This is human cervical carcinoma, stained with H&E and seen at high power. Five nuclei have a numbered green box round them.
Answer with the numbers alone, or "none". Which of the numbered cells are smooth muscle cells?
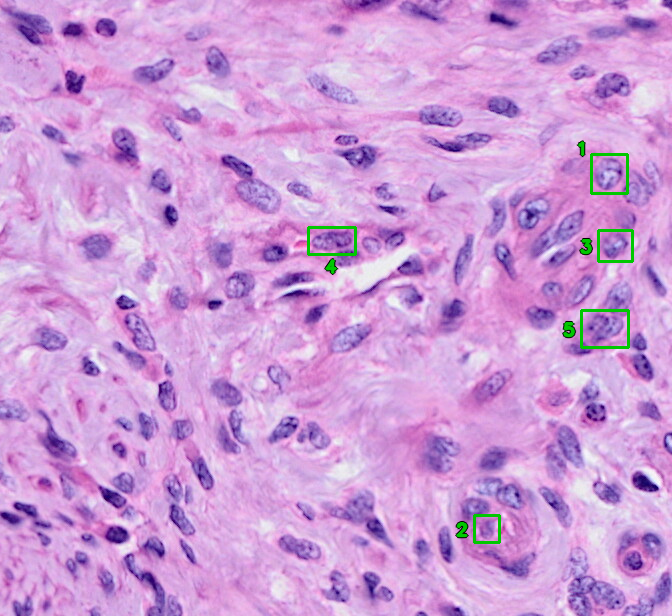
1, 3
